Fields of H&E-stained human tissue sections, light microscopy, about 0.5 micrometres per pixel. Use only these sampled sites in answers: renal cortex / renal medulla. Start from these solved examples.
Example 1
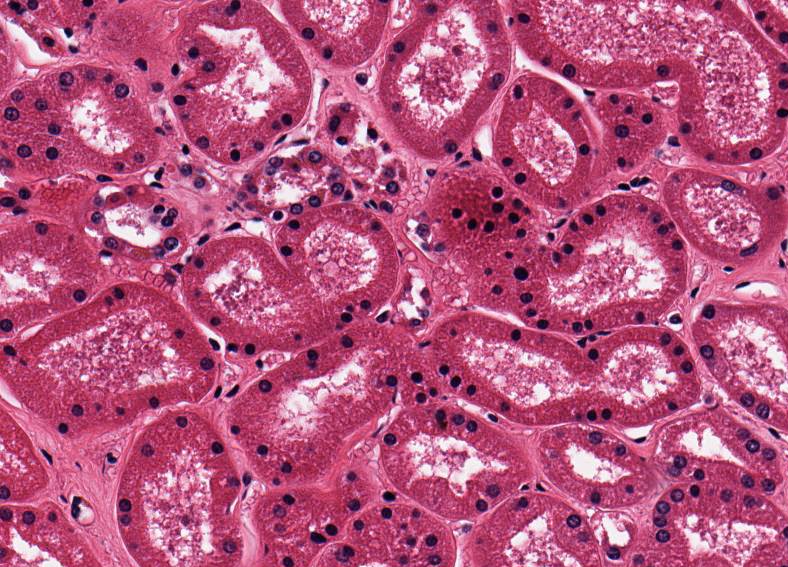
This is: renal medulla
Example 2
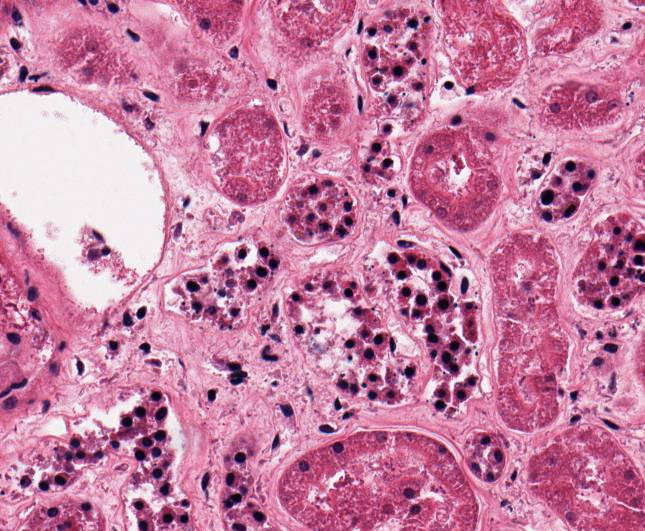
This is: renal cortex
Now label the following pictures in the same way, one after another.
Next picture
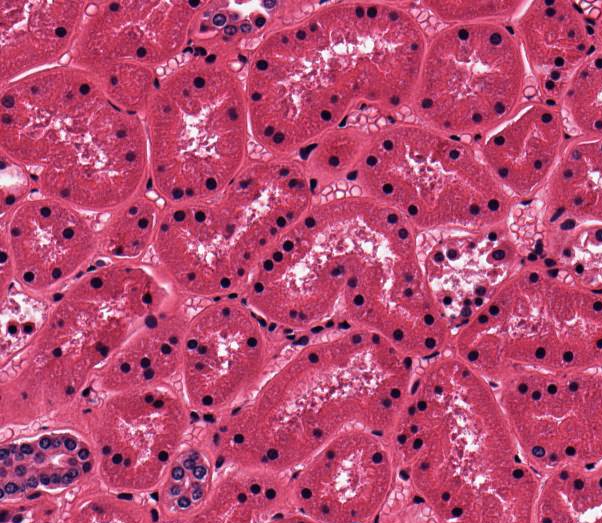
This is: renal medulla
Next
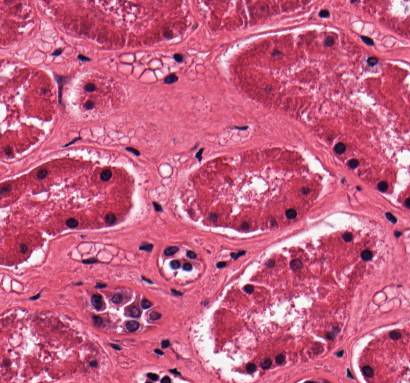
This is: renal cortex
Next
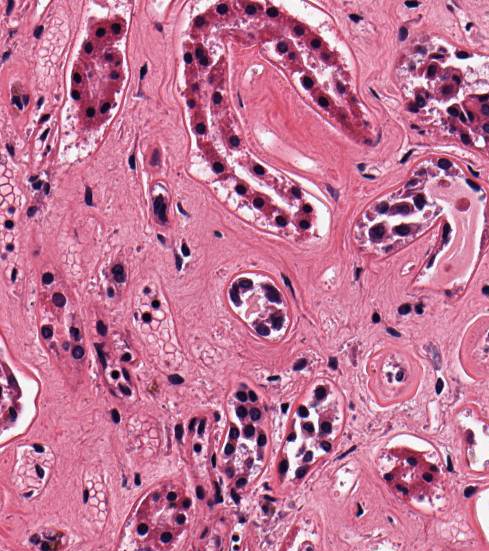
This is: renal cortex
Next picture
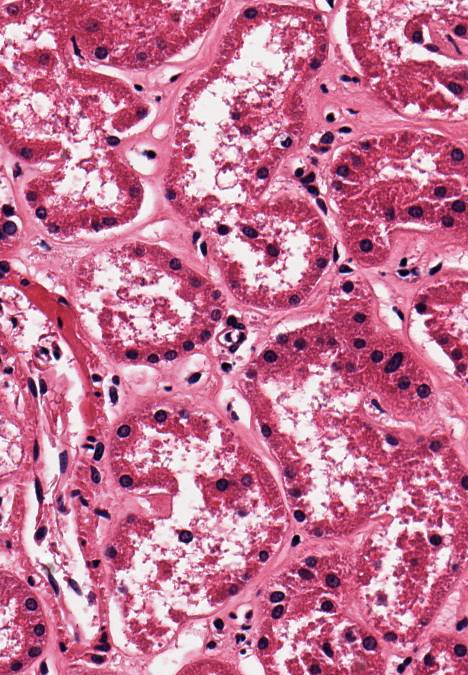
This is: renal medulla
